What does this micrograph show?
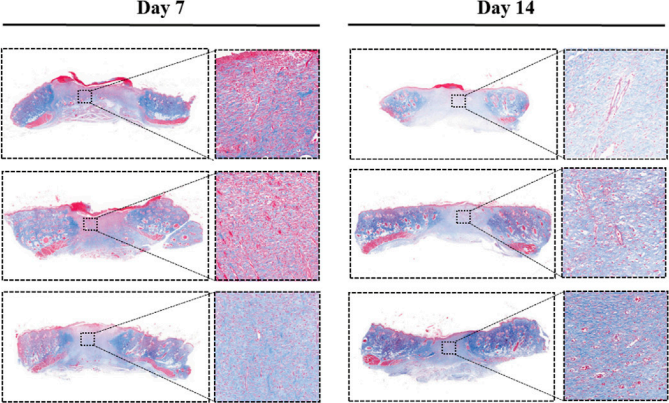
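The tissue shows blue fibres, with red areas along the surface and in deeper bands. The magnified views range from mostly red, loosely arranged tissue to dense blue fibre bundles. Small red-rimmed vessels lie among the blue fibres in some views.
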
